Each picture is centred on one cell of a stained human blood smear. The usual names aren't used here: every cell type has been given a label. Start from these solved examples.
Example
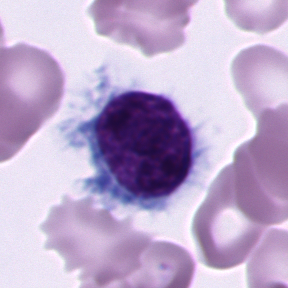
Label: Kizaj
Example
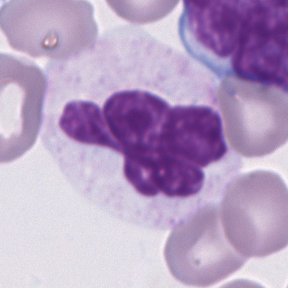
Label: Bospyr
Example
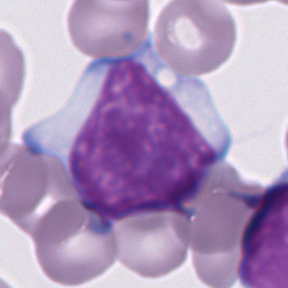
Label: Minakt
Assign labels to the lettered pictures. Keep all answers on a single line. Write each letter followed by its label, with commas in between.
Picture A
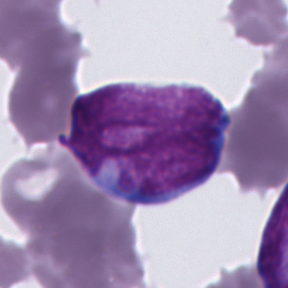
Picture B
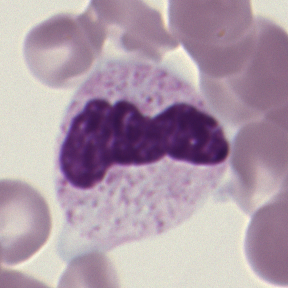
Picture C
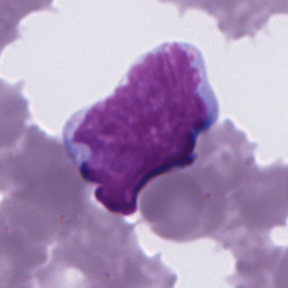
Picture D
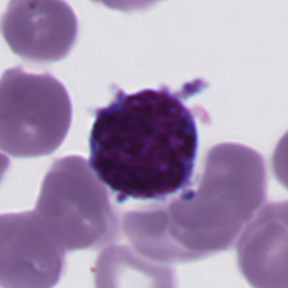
A Minakt, B Bospyr, C Minakt, D Minakt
